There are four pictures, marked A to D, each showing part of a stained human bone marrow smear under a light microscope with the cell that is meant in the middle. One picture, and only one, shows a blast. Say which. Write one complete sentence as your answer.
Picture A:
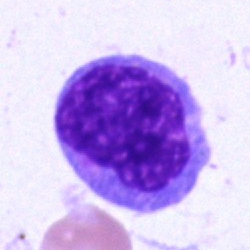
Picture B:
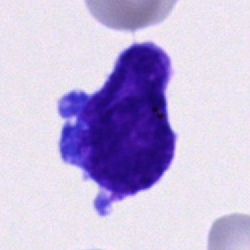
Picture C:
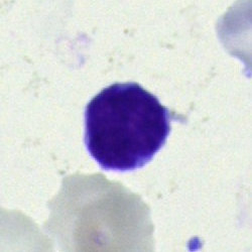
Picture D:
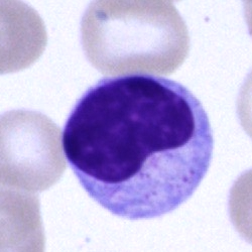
It is picture B that shows the blast.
